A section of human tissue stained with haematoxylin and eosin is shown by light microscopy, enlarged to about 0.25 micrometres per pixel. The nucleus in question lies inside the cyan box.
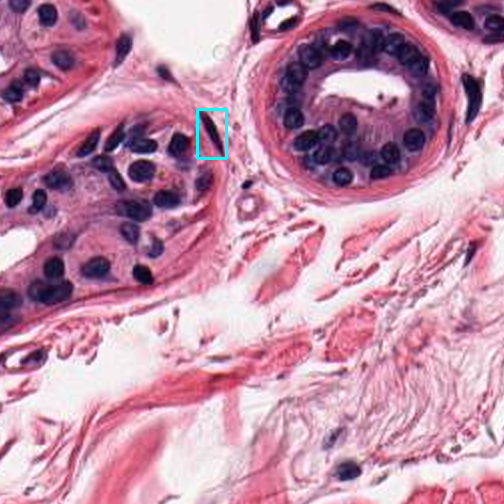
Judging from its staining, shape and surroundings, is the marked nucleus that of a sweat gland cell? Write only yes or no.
no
